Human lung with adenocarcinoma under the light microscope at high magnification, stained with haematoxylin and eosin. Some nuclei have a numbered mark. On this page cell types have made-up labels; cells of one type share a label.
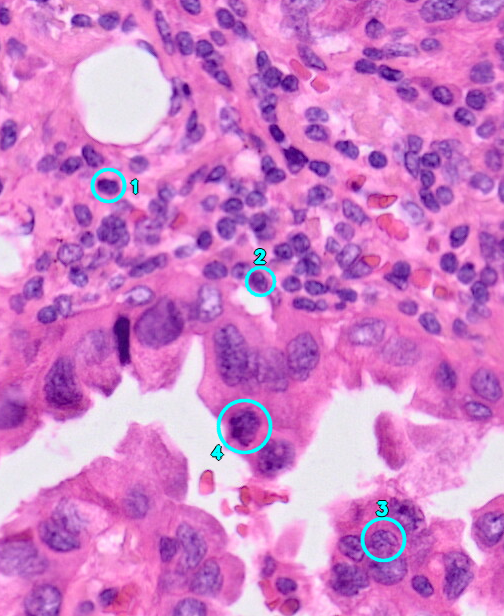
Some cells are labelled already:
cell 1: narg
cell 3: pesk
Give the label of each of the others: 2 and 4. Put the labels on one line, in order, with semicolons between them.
narg; pesk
